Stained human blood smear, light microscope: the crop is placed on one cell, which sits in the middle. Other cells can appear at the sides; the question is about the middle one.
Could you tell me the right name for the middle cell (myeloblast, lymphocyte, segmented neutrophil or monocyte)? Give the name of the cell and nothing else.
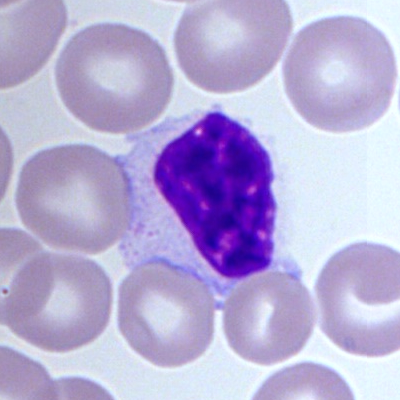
lymphocyte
